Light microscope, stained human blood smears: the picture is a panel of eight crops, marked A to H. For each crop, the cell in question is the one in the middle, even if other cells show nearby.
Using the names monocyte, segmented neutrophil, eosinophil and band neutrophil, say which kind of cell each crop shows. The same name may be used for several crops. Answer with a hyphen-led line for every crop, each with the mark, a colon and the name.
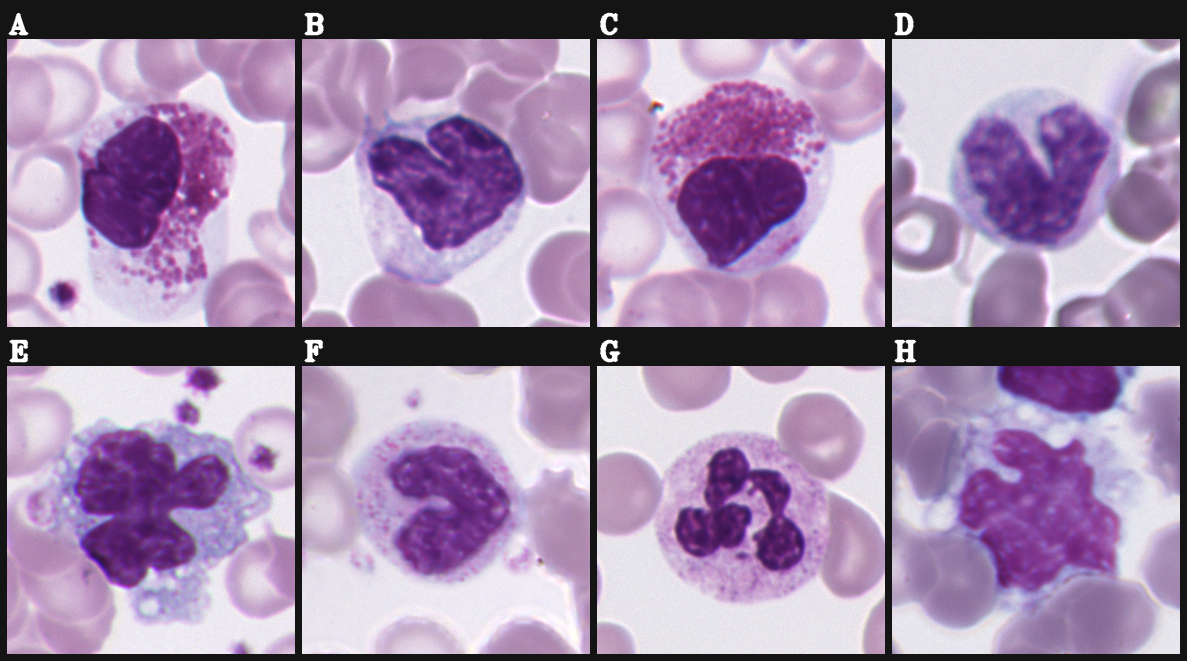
- A: eosinophil
- B: band neutrophil
- C: eosinophil
- D: band neutrophil
- E: monocyte
- F: band neutrophil
- G: segmented neutrophil
- H: monocyte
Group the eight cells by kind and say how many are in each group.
band neutrophil: 3
eosinophil: 2
monocyte: 2
segmented neutrophil: 1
